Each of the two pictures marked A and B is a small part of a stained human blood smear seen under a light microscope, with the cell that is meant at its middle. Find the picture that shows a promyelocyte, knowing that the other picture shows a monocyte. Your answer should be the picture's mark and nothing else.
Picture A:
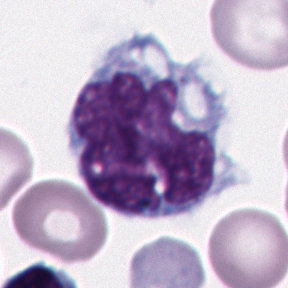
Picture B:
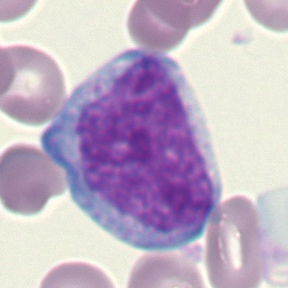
B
